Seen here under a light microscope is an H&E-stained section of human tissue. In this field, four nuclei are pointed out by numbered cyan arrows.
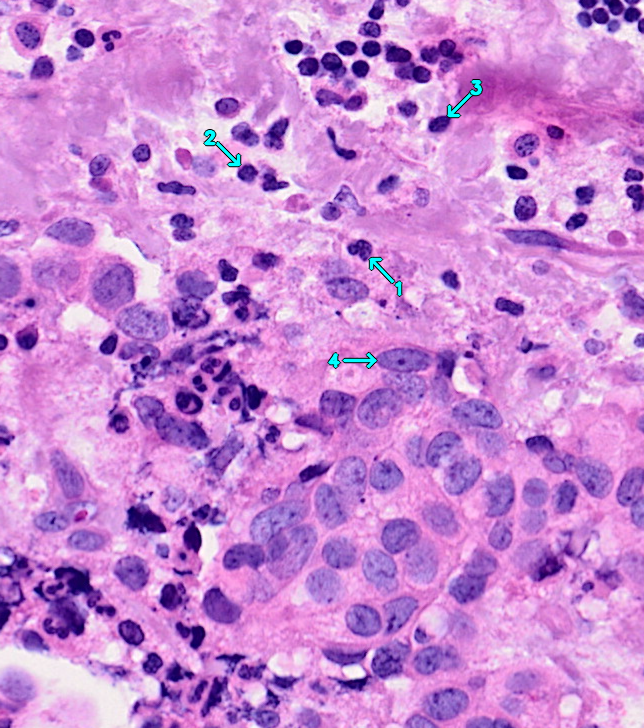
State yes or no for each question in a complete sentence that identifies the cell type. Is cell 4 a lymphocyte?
No, what is marked as number 4 is a carcinoma cell rather than a lymphocyte.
